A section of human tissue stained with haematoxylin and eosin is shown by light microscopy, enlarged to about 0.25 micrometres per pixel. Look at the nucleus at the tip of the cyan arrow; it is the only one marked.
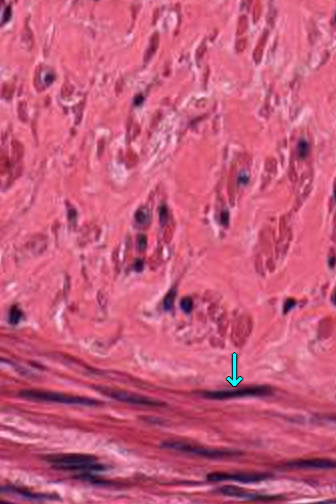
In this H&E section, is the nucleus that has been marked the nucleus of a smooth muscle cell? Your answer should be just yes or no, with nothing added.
yes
